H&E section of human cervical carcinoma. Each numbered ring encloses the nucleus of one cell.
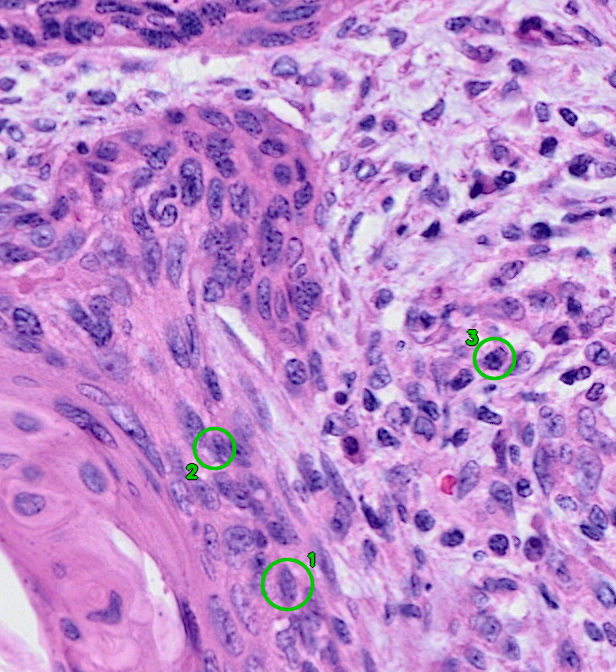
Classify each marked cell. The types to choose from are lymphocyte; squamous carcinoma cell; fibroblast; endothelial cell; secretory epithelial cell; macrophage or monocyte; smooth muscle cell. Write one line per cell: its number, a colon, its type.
1: squamous carcinoma cell
2: squamous carcinoma cell
3: lymphocyte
